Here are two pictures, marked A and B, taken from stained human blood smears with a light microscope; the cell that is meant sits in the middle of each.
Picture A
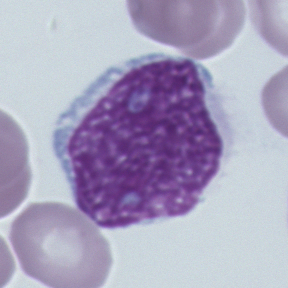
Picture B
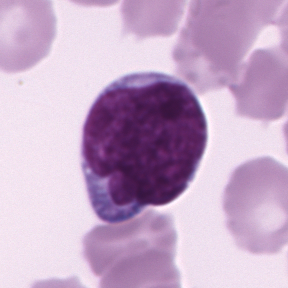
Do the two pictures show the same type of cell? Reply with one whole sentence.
Yes, both cells are myeloblasts.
